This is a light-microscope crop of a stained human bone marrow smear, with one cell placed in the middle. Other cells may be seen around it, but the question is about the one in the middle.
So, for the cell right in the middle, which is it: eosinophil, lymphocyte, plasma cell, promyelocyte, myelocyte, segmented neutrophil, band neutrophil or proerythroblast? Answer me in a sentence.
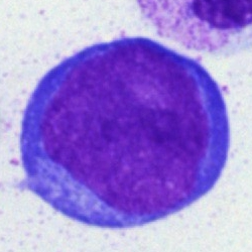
Seen at the centre of the crop is a proerythroblast.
